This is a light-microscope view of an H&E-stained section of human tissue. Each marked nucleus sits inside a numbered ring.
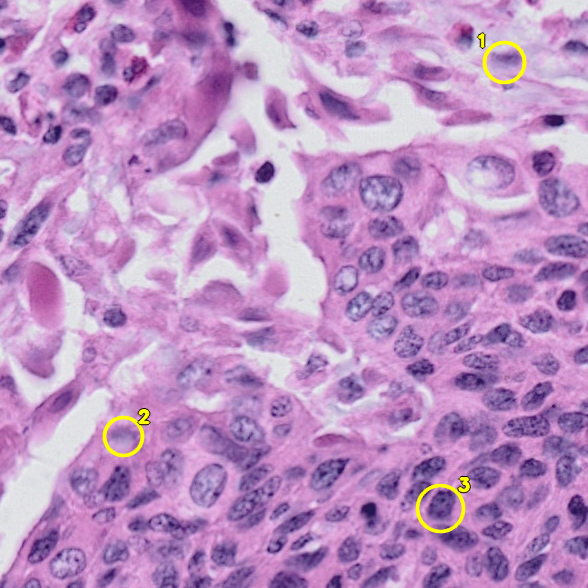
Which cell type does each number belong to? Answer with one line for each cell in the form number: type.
1: fibroblast
2: squamous carcinoma cell
3: squamous carcinoma cell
